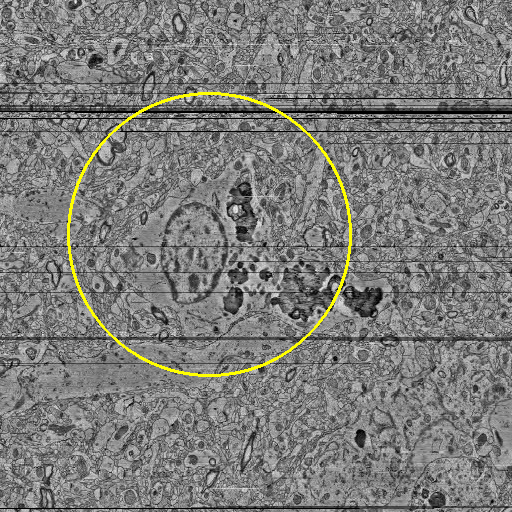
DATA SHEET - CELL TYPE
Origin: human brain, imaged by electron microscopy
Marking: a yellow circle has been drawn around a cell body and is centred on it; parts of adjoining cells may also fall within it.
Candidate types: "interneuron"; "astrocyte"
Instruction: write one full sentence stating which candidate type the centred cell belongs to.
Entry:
The cell body at the centre of the yellow ring in this micrograph belongs to an astrocyte.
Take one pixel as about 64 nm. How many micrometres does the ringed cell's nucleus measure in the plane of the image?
Clearly longer than it is wide in this plane, the nucleus measures roughly 7 by 4 micrometres.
